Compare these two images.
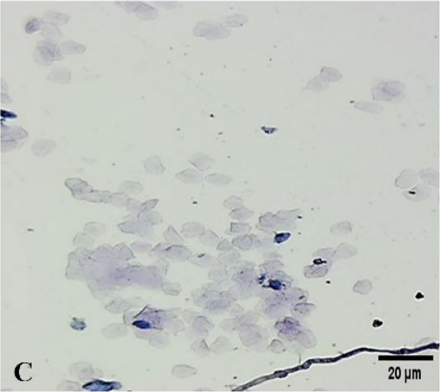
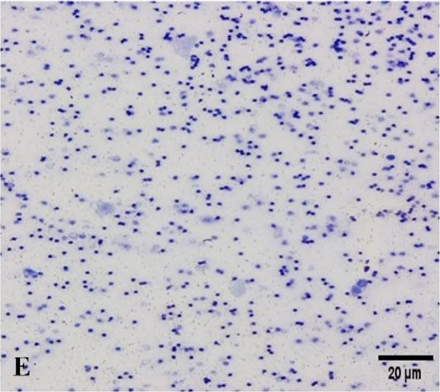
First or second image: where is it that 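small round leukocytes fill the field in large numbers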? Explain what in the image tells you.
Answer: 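Second image: the field is densely scattered with small, round, dark blue cells. First image: the field holds large flat angular pale cells and almost no small dark round cells. The answer: the second image.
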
